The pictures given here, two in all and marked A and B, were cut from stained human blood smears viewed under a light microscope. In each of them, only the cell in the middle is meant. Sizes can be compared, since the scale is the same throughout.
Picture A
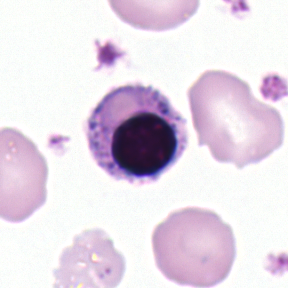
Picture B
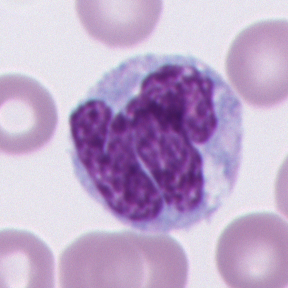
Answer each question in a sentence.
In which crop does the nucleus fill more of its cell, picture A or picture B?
It is the cell in picture B that is filled more by its nucleus.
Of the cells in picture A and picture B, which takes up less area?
The cell in picture A is smaller; the one in picture B has about 3 times its area.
